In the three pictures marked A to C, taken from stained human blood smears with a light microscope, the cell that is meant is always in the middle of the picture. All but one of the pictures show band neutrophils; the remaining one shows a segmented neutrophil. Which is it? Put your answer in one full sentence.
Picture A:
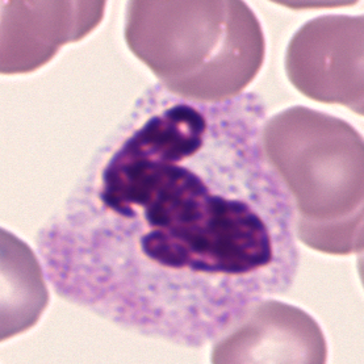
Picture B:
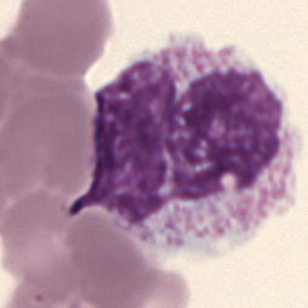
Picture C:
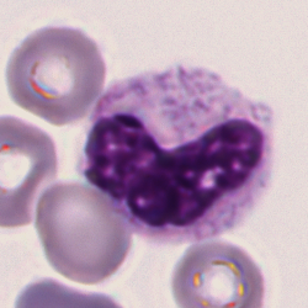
It is picture A that shows the segmented neutrophil.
